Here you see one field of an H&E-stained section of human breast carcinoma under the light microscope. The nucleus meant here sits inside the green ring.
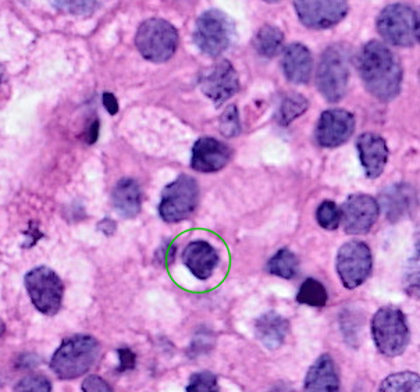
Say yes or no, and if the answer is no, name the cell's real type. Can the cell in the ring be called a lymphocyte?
No, it is a carcinoma cell.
